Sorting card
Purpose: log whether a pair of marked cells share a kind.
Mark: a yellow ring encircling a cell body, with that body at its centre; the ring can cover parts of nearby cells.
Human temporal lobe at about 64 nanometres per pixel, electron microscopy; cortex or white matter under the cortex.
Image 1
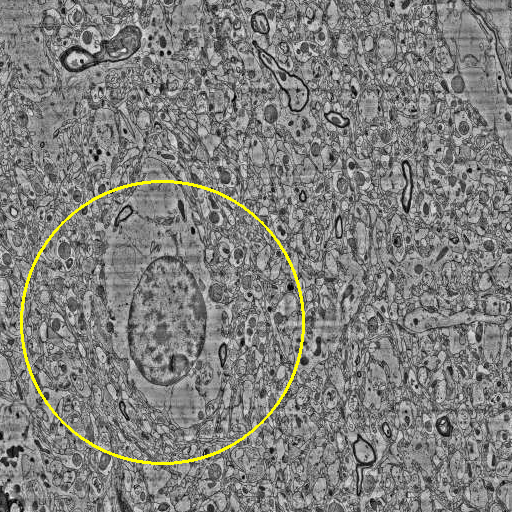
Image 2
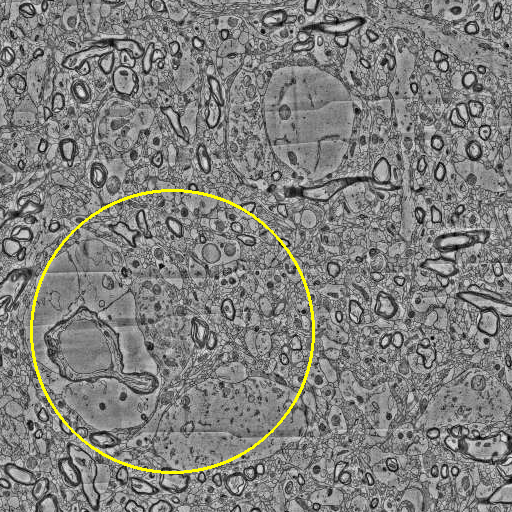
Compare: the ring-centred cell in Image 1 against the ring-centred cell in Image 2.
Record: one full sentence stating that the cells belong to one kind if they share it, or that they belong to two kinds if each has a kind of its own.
Across Images 1 and 2, the two ring-centred cells belong to two kinds.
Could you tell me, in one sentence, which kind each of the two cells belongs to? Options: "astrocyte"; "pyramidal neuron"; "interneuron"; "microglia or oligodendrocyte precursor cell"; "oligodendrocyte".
At the centre of the first ring sits an astrocyte, and at the centre of the second sits an oligodendrocyte.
